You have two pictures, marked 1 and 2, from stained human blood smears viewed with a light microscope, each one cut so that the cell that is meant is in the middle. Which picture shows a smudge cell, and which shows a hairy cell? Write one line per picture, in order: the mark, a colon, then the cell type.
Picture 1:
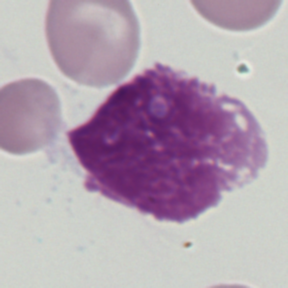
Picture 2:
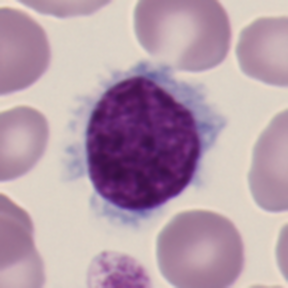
1: smudge cell
2: hairy cell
